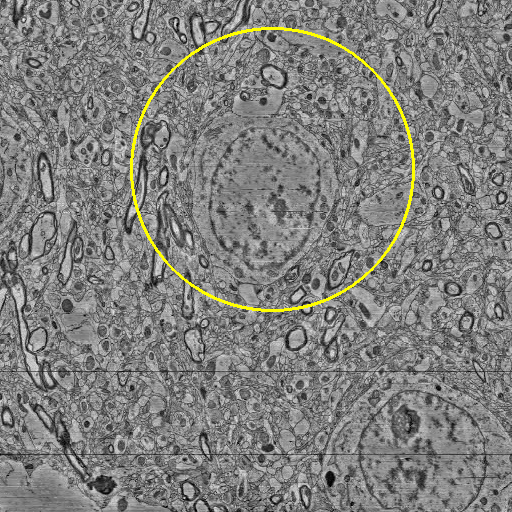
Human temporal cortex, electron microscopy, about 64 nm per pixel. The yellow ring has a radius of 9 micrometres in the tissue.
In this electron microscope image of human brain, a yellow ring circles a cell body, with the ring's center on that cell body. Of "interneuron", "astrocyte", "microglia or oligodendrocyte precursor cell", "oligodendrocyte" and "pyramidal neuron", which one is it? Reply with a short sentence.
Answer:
It is an interneuron at the center of the ring.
